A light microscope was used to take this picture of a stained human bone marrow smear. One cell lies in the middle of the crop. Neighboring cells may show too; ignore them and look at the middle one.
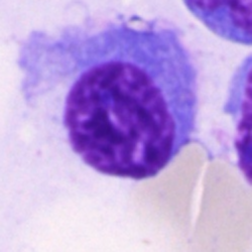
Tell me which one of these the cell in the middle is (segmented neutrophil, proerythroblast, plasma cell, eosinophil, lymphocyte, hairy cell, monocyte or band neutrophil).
plasma cell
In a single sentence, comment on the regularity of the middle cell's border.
The cell membrane follows an uneven contour, either ragged or bearing projections.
